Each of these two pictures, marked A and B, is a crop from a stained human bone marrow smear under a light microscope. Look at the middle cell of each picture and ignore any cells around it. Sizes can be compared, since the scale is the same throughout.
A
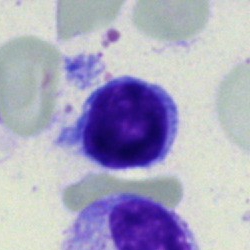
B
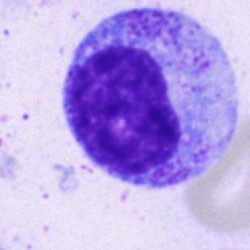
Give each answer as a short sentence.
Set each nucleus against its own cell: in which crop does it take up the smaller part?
It is the cell in crop B that is filled less by its nucleus.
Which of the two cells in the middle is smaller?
It is the cell in crop A; the cell in crop B has about 3 times its area.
